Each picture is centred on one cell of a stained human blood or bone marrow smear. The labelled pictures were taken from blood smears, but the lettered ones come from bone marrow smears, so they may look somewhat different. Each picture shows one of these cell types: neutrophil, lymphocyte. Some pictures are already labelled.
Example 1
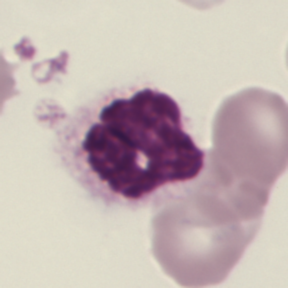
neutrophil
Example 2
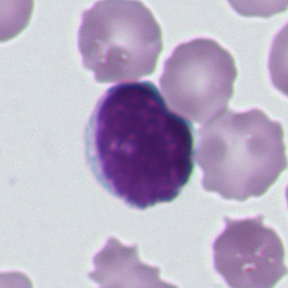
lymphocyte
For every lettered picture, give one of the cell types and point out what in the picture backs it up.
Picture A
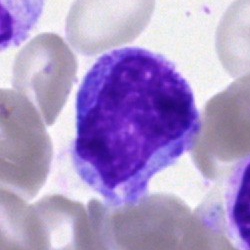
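Answer: lymphocyte. The nucleus fills most of the cell.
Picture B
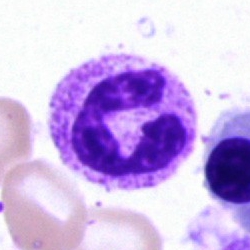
Answer: neutrophil. The nucleus is a single thick curved band bent into a C shape.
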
